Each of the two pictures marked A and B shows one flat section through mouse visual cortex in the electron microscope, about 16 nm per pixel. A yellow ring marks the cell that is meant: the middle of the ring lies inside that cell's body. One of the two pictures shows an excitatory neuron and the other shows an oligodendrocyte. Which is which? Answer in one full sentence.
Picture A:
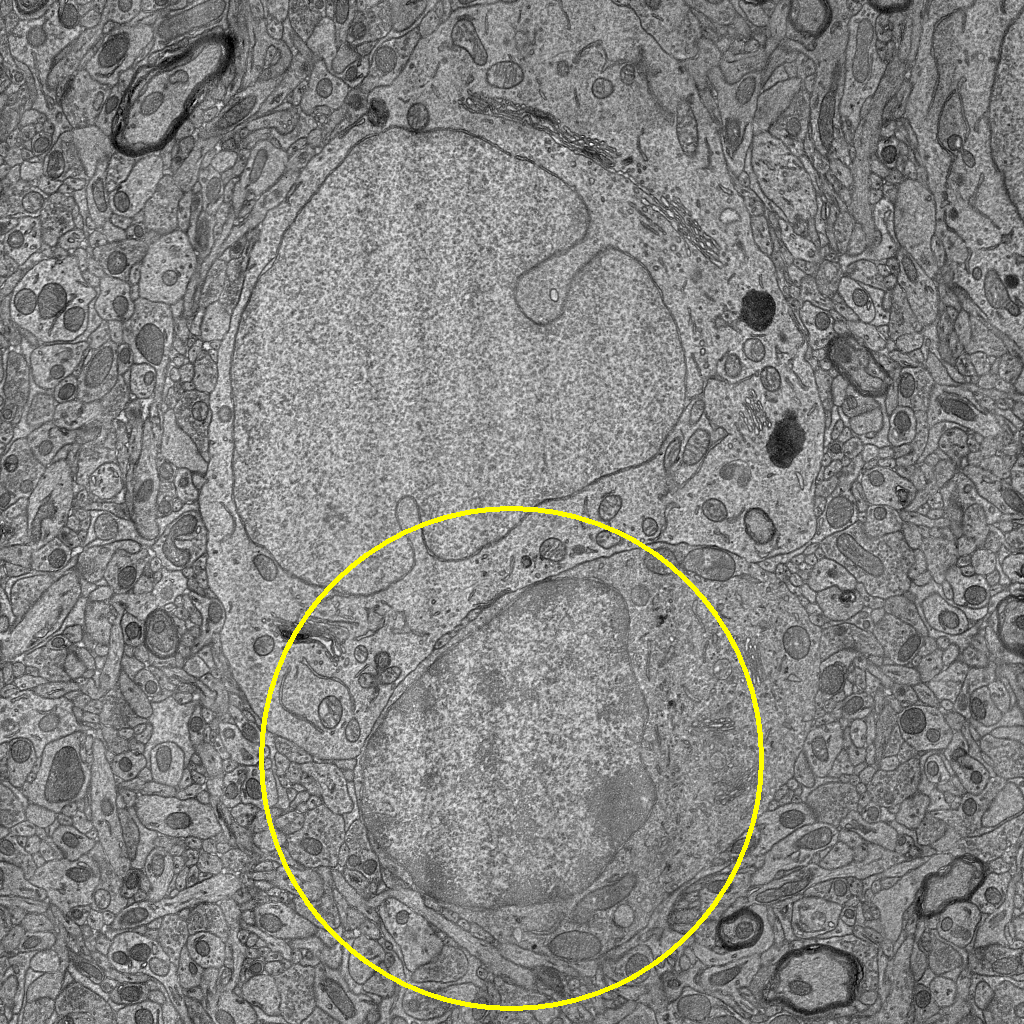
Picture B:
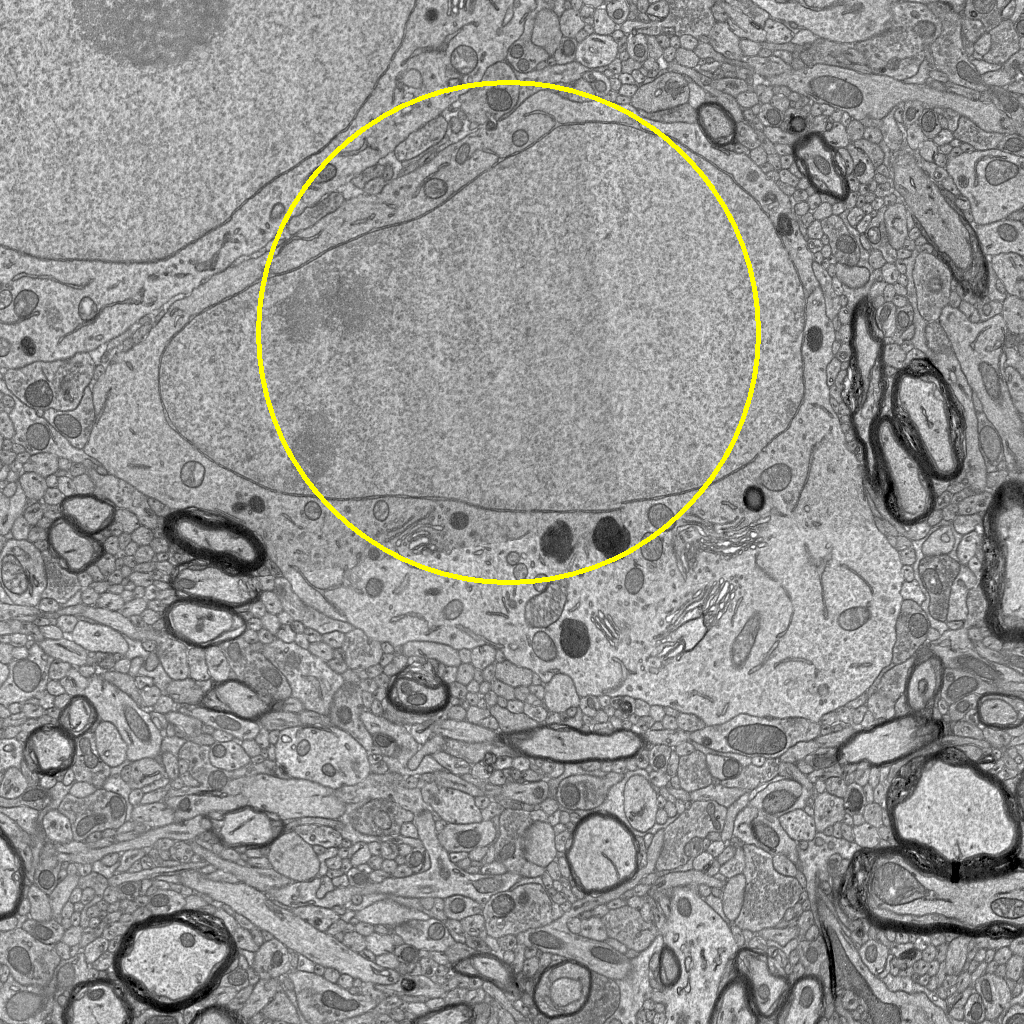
Picture A shows an oligodendrocyte and picture B shows an excitatory neuron.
